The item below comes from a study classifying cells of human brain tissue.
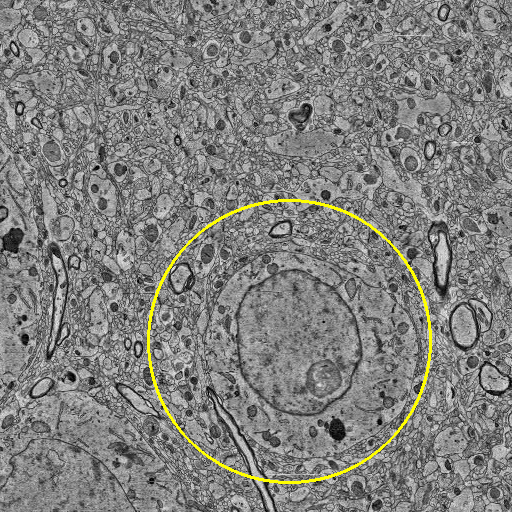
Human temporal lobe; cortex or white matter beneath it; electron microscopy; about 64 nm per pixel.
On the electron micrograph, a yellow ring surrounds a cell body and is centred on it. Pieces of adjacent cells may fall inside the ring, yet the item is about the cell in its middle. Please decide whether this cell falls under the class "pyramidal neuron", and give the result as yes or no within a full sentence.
Yes, the cell at the middle of the ring on the micrograph belongs in that class.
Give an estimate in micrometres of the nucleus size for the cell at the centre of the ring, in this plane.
In this plane, the nucleus of the cell at the centre of the ring measures about 10 by 8 micrometres.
